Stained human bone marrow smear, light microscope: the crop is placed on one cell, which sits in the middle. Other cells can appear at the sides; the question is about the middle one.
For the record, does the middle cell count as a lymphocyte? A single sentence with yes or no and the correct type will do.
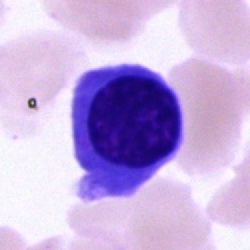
No, the middle cell is classified as a plasma cell instead of a lymphocyte.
